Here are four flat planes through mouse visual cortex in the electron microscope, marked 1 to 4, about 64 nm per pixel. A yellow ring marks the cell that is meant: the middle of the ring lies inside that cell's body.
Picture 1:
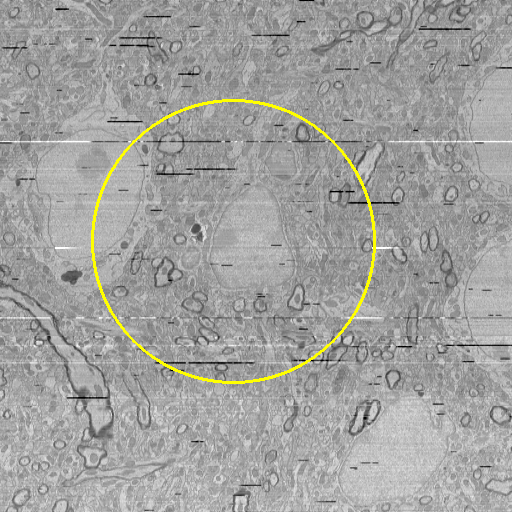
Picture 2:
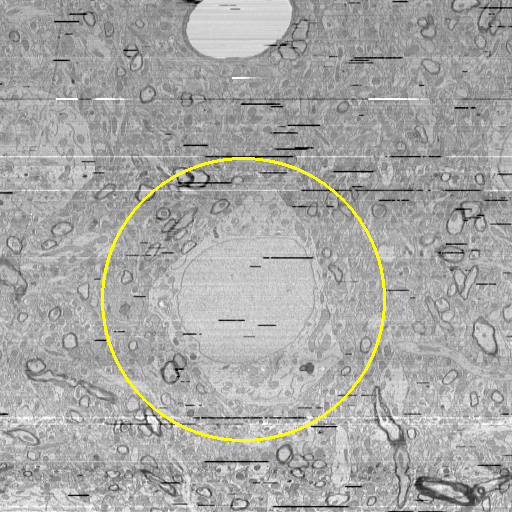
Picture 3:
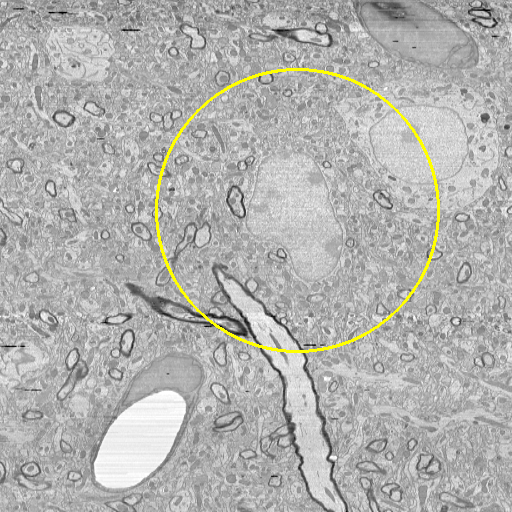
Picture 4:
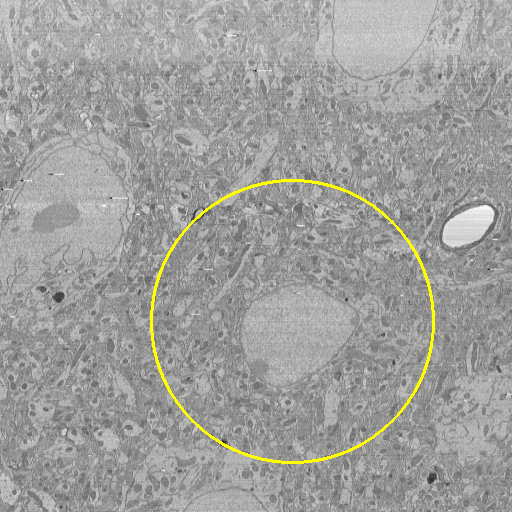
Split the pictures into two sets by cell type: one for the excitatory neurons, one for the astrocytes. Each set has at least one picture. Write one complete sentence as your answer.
Picture 2 shows an excitatory neuron, and pictures 1, 3 and 4 show astrocytes.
